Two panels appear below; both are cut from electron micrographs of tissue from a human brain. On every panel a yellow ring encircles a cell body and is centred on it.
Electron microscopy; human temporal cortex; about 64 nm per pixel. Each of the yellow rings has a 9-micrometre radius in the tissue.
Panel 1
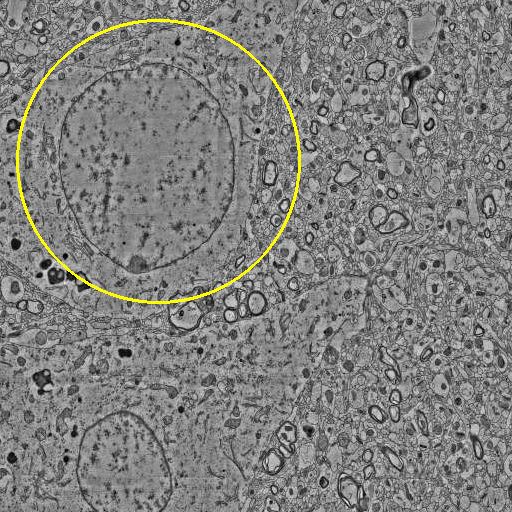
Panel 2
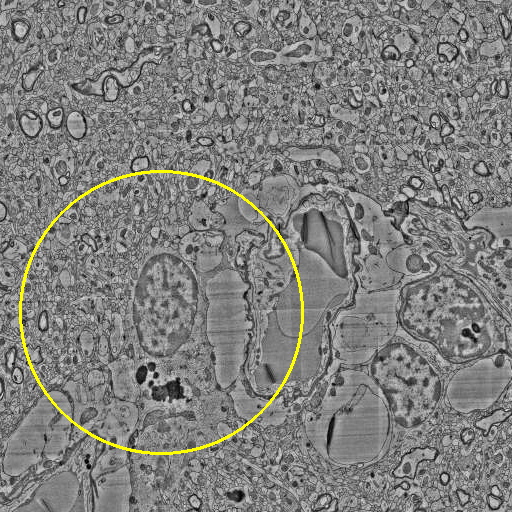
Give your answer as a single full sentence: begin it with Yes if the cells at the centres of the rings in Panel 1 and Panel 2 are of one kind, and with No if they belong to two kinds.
No, the cells in the middle of the rings in Panels 1 and 2 are of two kinds.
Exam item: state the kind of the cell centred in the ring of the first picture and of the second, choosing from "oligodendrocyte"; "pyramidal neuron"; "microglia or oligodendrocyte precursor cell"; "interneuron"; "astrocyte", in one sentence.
The first picture shows a pyramidal neuron at the ring centre and the second shows an oligodendrocyte.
